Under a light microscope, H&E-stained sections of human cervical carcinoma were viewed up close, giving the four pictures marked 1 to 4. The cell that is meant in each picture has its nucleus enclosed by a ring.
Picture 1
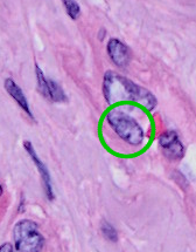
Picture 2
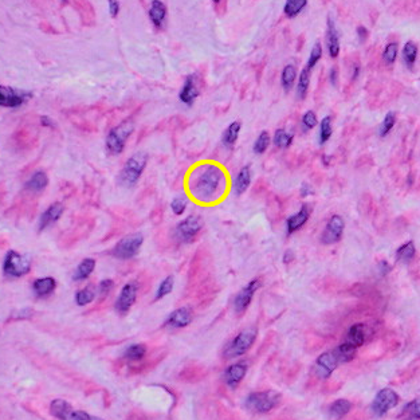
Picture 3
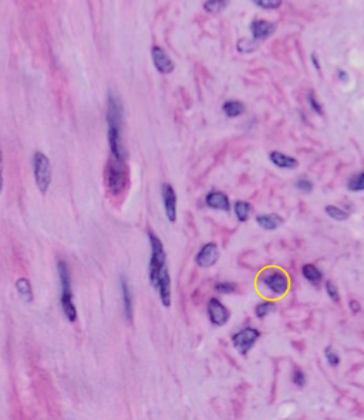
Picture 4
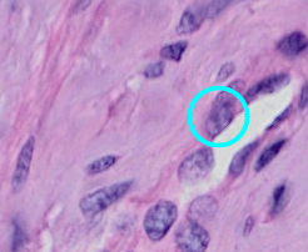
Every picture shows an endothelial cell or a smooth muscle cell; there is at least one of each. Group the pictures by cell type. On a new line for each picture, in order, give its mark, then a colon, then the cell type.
1: endothelial cell
2: smooth muscle cell
3: smooth muscle cell
4: endothelial cell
